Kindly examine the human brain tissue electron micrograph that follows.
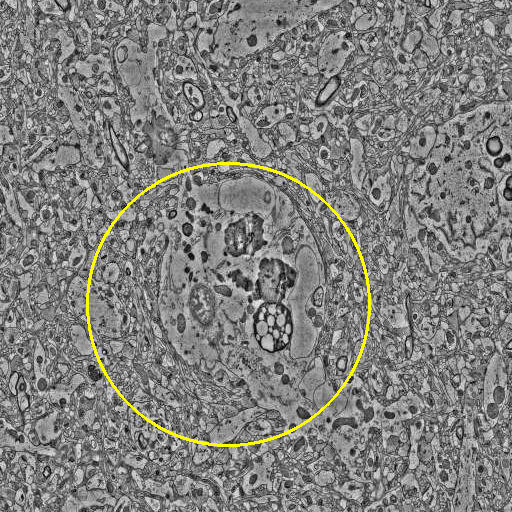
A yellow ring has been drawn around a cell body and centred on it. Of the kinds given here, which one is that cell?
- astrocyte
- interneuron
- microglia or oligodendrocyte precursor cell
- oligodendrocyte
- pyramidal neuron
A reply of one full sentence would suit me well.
The micrograph's ringed cell, the one at the ring's centre, is an astrocyte.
